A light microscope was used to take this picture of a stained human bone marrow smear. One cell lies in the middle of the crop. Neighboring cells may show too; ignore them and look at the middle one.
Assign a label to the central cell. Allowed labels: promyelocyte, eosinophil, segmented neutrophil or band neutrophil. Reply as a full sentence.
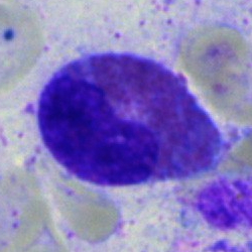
As for the cell in the middle, it is an eosinophil.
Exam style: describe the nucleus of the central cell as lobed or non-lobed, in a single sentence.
The nuclear material is gathered into one compact round, oval or kidney-shaped mass.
